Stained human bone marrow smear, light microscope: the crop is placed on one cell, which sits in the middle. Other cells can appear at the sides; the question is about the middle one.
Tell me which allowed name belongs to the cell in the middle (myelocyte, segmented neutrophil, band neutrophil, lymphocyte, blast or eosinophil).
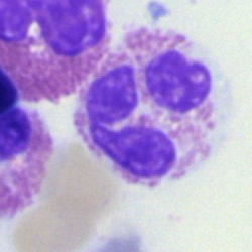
eosinophil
